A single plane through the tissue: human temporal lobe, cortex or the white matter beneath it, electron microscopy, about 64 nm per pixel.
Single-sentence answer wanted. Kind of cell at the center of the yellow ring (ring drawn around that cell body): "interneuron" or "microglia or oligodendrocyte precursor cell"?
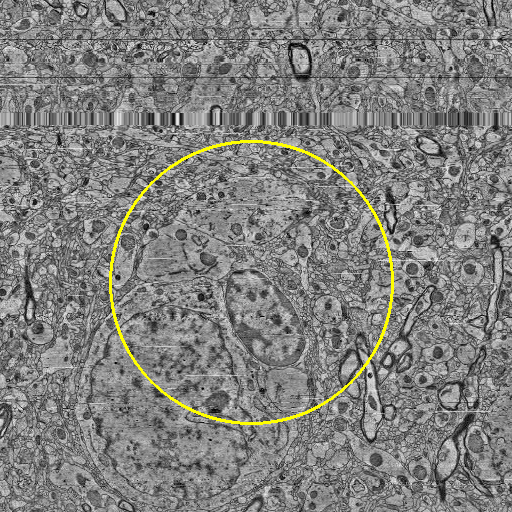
The cell centered in the ring is a microglial cell or oligodendrocyte precursor cell.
